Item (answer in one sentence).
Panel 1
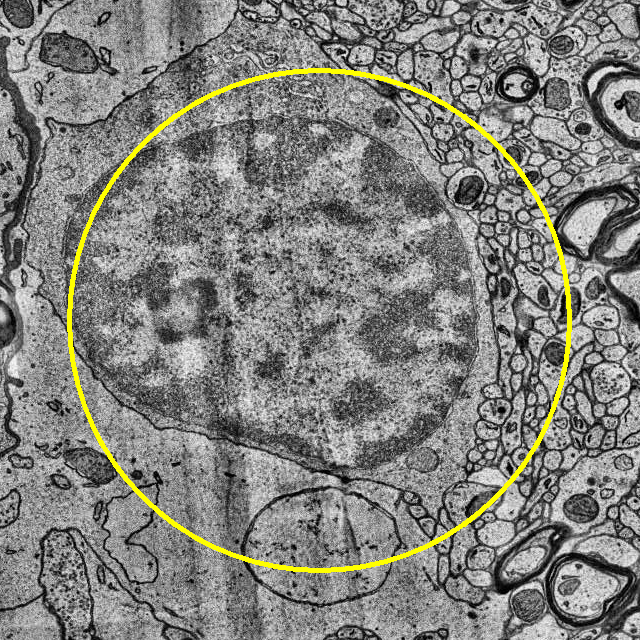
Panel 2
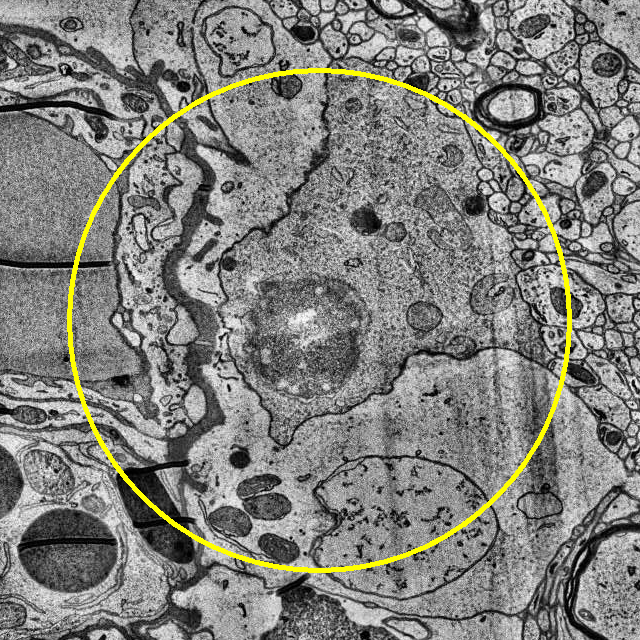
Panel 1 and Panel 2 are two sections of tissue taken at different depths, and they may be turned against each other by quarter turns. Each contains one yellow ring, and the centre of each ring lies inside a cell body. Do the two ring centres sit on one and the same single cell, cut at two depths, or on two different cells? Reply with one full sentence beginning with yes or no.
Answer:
Yes, both circles in yellow pick out the same cell.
